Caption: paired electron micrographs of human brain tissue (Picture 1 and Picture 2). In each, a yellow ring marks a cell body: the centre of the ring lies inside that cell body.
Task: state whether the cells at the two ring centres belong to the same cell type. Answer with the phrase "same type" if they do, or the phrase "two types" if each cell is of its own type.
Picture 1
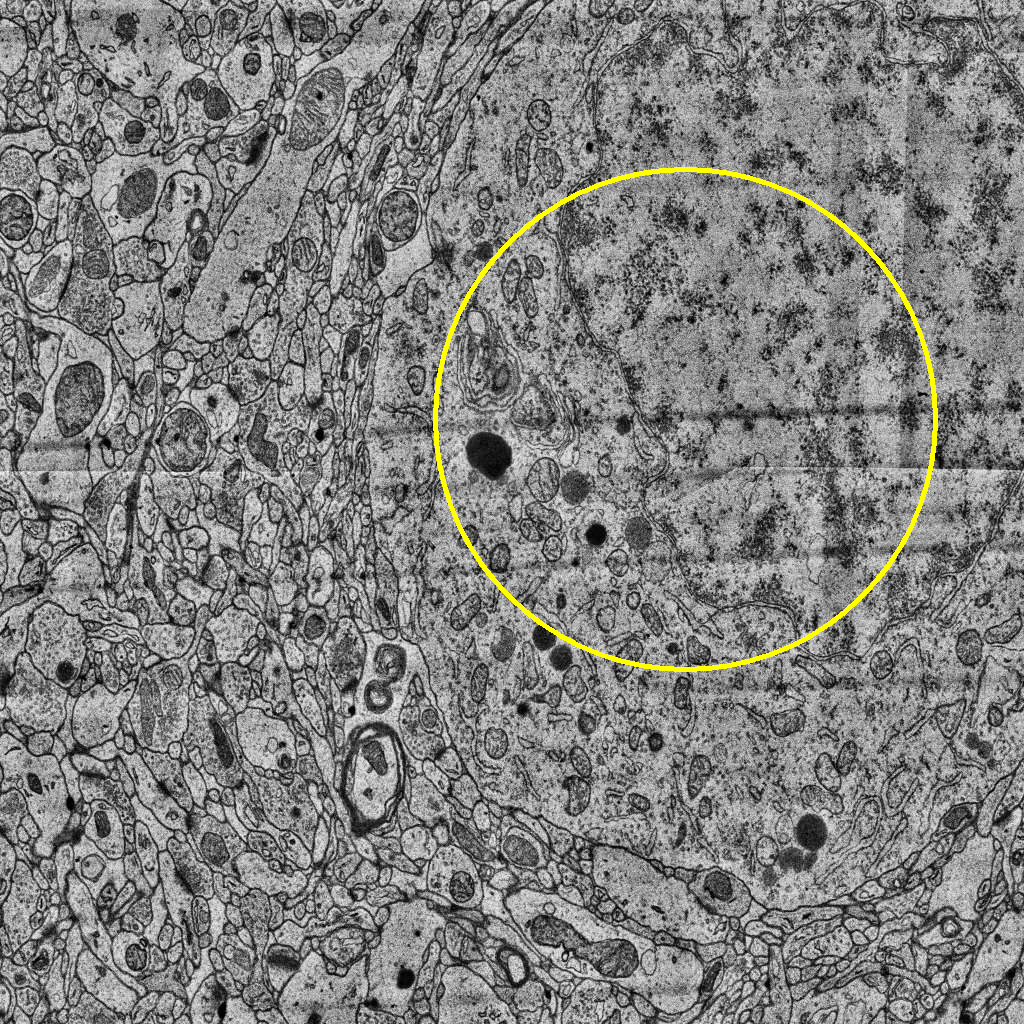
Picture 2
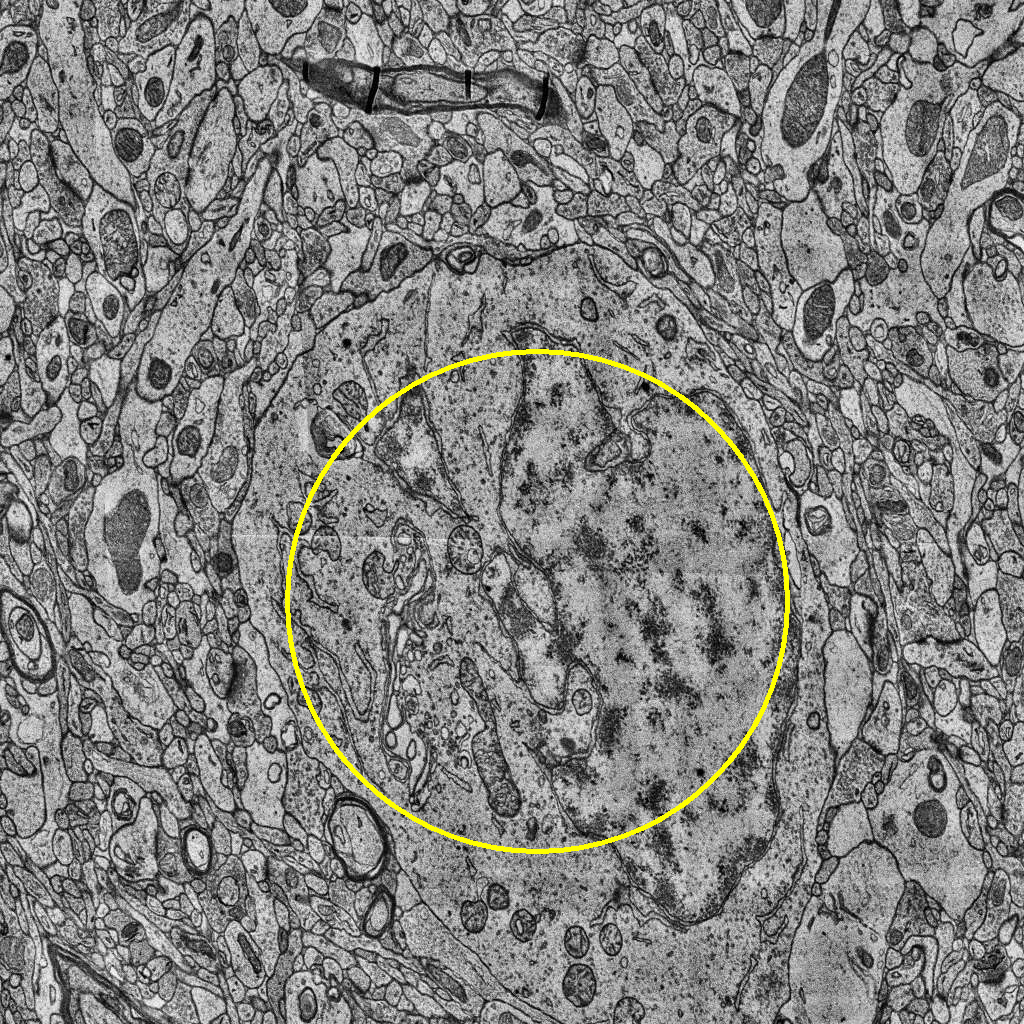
same type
